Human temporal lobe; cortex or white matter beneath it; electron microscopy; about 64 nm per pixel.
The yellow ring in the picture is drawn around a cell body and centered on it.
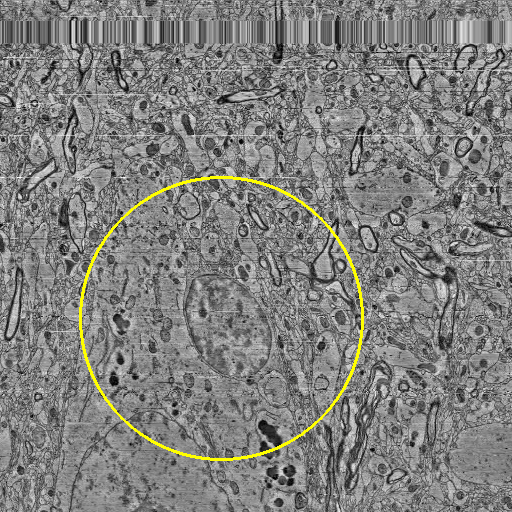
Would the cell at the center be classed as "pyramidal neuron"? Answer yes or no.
No, it belongs to another class.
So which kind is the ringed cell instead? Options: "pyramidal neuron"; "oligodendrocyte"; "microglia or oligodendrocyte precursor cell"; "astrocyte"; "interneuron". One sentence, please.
So the cell at the centre is an oligodendrocyte.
